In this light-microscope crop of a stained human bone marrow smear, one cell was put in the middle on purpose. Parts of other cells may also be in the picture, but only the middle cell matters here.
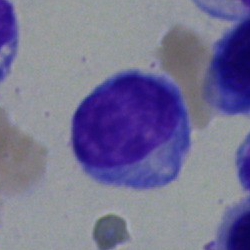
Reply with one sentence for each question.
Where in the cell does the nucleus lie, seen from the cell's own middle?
The nucleus is pushed toward the upper left of the cell.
